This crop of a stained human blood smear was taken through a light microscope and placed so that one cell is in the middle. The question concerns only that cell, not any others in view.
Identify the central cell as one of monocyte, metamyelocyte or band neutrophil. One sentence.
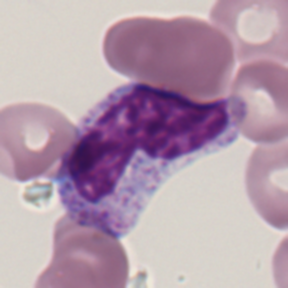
The centrally placed cell is classified as a metamyelocyte.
